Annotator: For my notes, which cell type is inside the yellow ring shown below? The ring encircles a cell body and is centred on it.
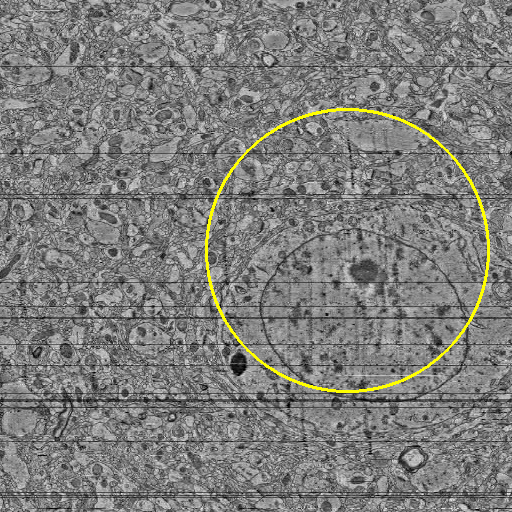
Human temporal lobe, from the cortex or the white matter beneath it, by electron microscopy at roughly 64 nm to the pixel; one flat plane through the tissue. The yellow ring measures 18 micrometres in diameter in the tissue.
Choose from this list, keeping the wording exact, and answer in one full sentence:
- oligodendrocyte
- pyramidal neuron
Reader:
At the centre of the yellow ring there is a pyramidal neuron, as shown in the picture.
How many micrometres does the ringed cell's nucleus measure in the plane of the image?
Roughly 14 micrometres by 11 micrometres, in this plane.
